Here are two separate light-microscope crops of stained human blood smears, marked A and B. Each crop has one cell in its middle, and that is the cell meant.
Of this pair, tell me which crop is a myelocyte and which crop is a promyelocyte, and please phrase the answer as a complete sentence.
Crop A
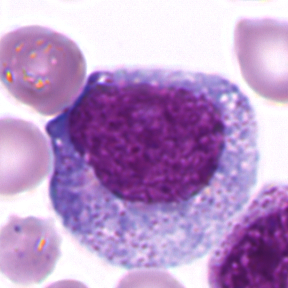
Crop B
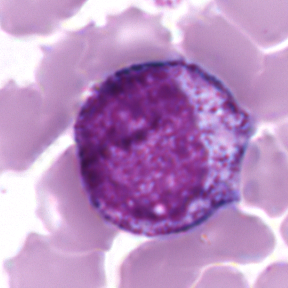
Crop A is a promyelocyte, whilst crop B is a myelocyte.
